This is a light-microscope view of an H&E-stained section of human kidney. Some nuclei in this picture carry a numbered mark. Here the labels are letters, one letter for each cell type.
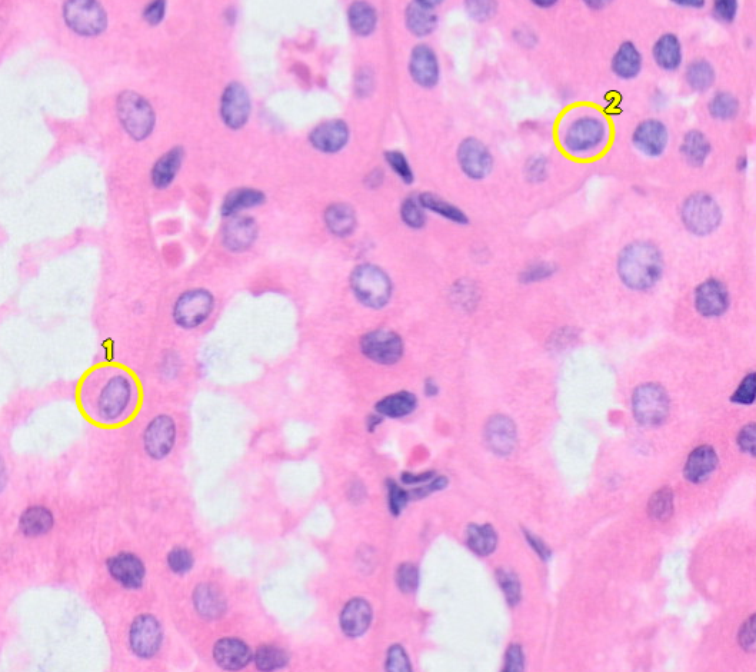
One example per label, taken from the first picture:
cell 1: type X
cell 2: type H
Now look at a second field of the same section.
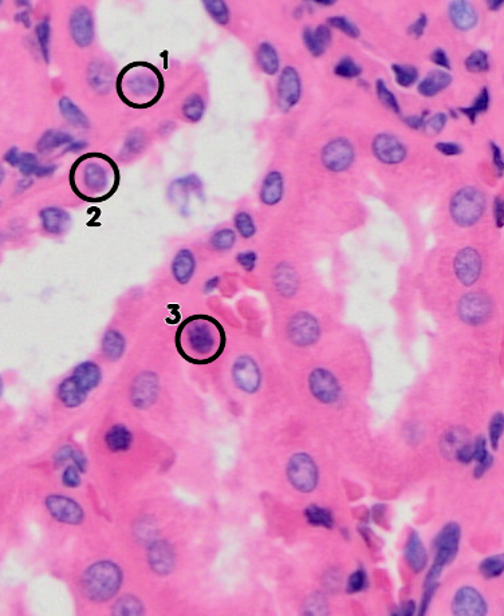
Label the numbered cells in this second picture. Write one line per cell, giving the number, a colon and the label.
1: type H
2: type H
3: type X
